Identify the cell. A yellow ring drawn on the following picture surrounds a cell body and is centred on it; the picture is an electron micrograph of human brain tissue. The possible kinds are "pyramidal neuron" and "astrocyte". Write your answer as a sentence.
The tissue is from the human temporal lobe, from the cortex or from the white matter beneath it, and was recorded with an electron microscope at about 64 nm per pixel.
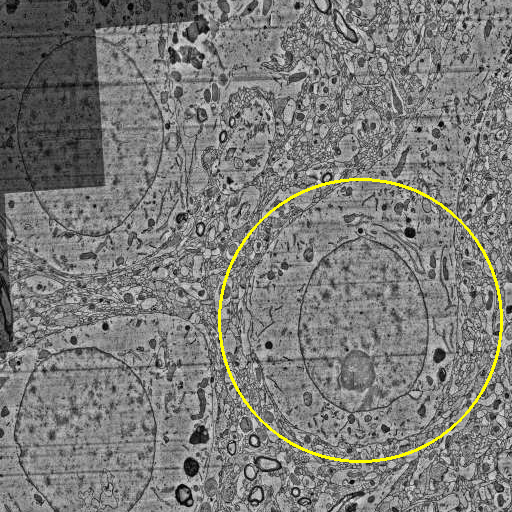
The cell identified by the ring is a pyramidal neuron.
